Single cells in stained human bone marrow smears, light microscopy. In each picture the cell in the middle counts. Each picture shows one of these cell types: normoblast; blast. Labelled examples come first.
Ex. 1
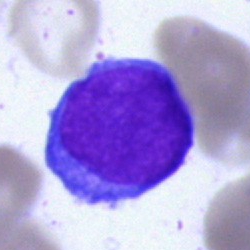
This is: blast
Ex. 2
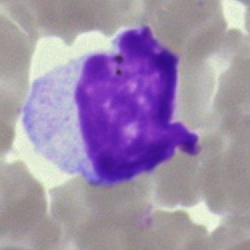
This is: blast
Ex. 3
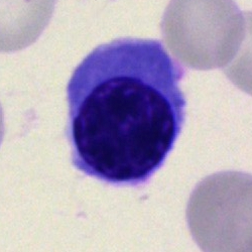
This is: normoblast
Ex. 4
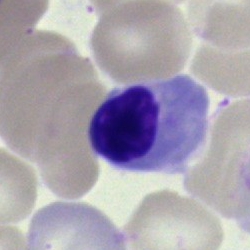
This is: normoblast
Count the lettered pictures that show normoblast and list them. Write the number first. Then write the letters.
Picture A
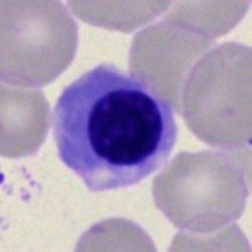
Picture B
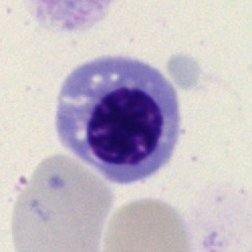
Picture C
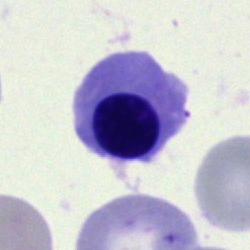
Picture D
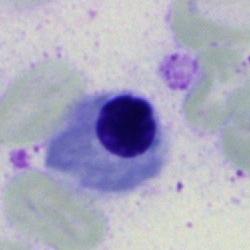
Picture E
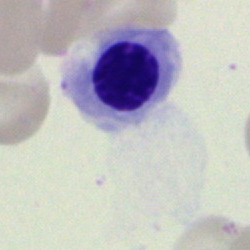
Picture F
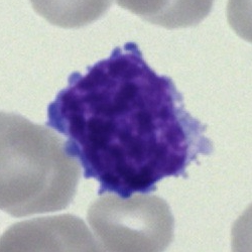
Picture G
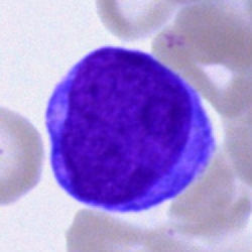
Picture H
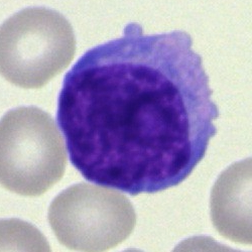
5: A, B, C, D, E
